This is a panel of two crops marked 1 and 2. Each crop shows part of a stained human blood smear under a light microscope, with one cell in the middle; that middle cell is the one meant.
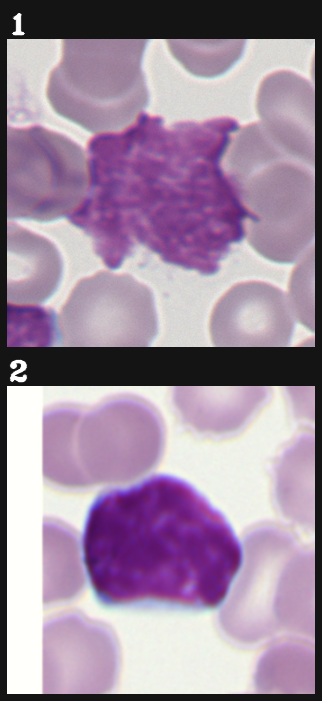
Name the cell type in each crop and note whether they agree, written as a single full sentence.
No, in this case crop 1 shows a smudge cell, and crop 2 shows a typical lymphocyte.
